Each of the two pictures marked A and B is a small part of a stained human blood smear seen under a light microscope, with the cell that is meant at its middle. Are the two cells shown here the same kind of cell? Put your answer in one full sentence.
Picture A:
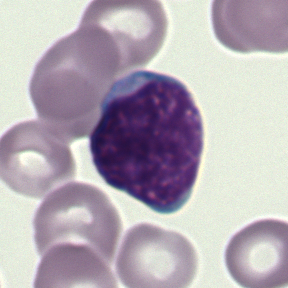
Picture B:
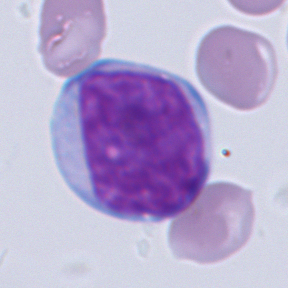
Yes, they are the same type: both are myeloblasts.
